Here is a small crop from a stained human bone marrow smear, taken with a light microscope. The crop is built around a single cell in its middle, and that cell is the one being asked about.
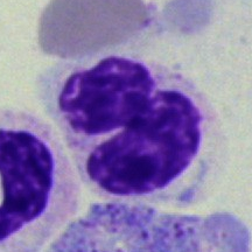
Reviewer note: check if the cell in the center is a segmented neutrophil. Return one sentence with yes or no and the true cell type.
Yes, the cell shown in the middle is a segmented neutrophil.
